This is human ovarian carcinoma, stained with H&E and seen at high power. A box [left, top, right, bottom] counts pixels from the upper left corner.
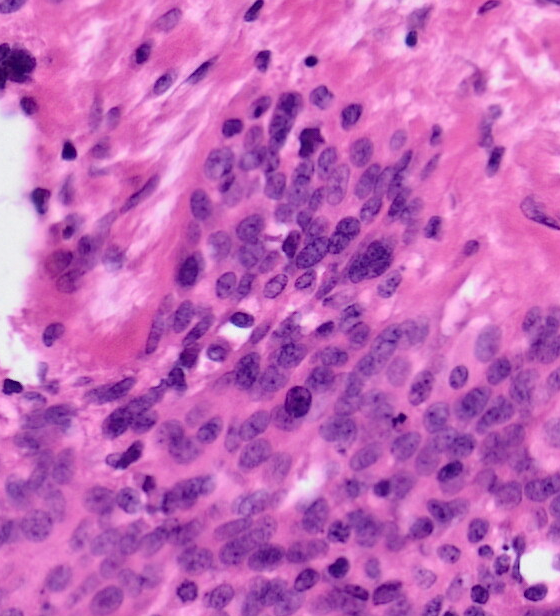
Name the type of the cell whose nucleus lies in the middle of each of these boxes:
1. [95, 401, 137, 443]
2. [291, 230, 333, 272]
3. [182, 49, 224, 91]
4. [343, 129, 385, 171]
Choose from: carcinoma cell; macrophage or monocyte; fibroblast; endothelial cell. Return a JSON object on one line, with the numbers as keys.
{"1": "carcinoma cell", "2": "carcinoma cell", "3": "fibroblast", "4": "carcinoma cell"}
